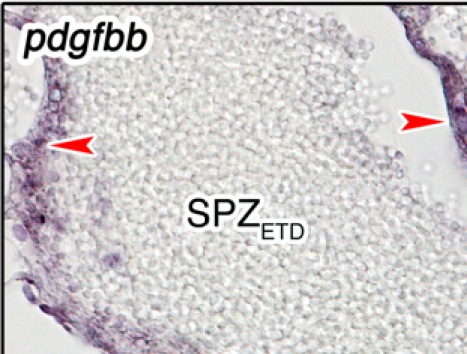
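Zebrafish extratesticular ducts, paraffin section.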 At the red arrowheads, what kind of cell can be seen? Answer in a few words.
Epithelial cells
